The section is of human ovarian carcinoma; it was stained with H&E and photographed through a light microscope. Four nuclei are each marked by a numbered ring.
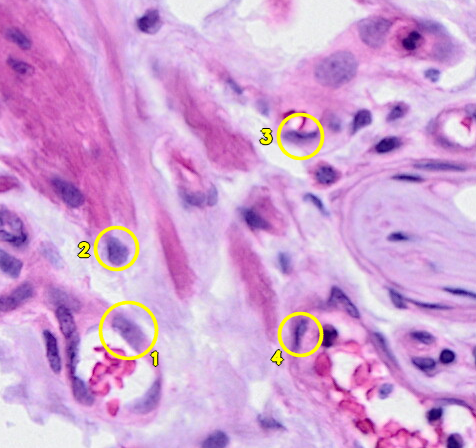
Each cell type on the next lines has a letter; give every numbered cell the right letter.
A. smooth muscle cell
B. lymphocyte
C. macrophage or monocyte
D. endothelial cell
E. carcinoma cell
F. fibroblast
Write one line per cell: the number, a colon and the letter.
1: D
2: F
3: D
4: D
